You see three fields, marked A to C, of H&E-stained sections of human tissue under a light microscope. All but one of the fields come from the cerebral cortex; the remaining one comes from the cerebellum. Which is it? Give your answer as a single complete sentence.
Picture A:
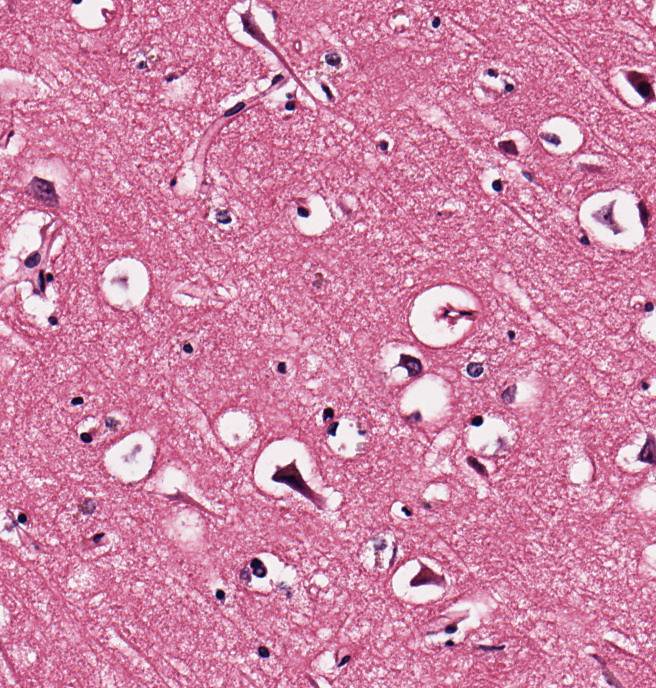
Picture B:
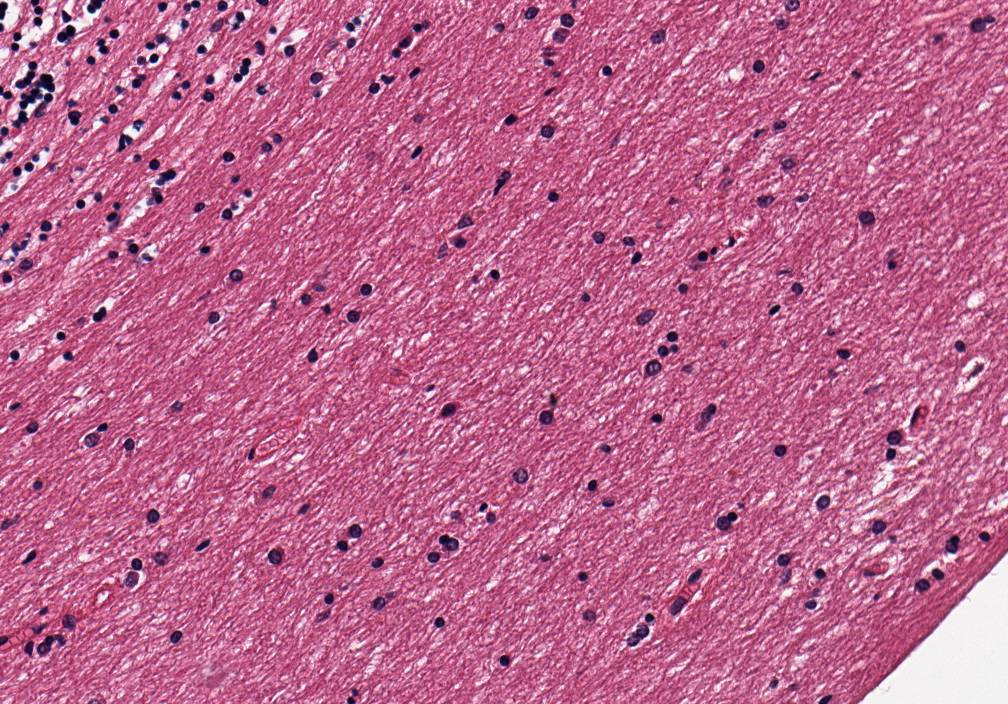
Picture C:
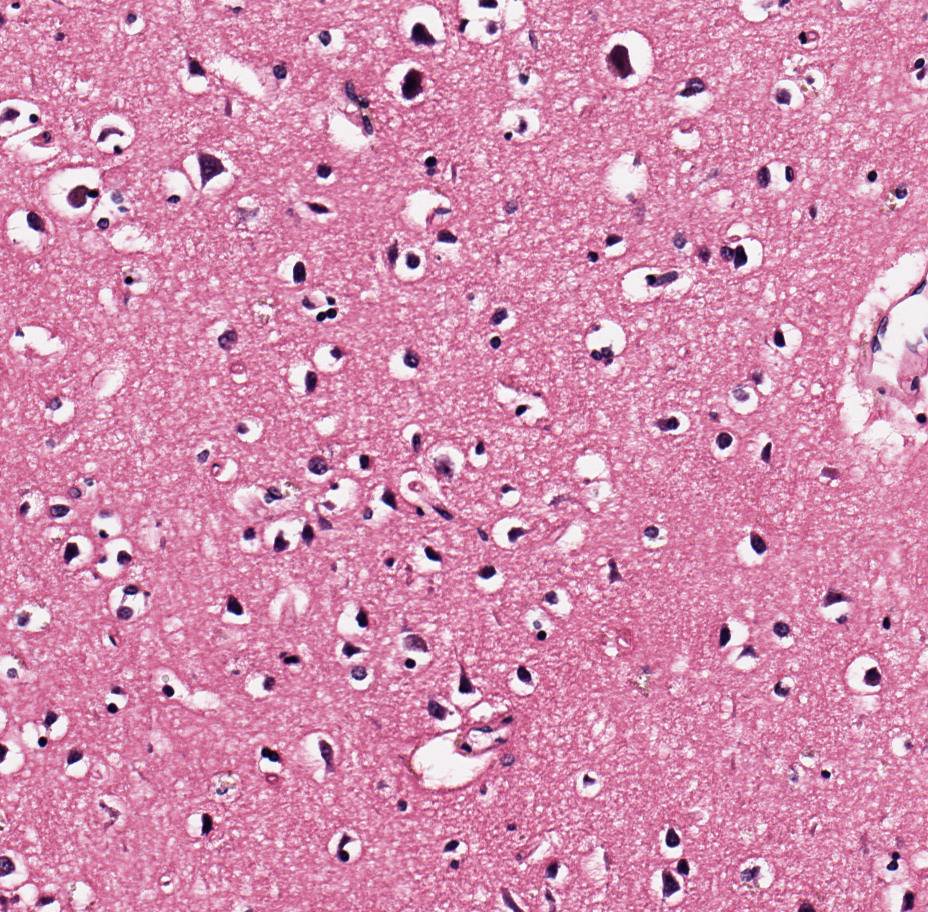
Picture B comes from the cerebellum.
